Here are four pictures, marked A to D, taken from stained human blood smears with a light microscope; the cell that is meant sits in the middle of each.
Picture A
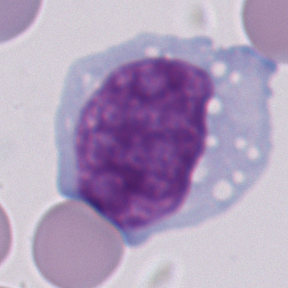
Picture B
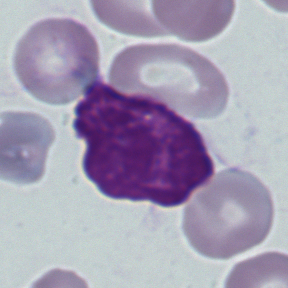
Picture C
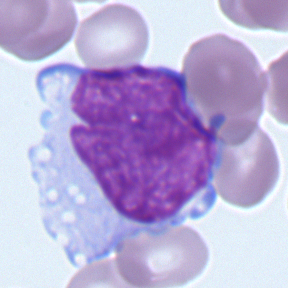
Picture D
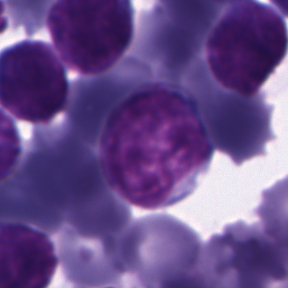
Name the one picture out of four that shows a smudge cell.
B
